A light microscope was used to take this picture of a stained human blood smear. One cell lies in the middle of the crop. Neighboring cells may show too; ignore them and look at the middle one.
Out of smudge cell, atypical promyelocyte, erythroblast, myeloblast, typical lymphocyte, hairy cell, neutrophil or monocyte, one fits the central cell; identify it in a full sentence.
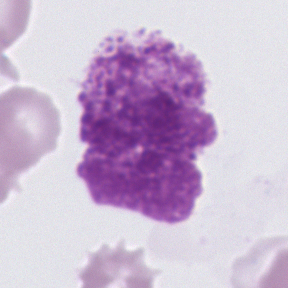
In short, the cell at the center is a smudge cell.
